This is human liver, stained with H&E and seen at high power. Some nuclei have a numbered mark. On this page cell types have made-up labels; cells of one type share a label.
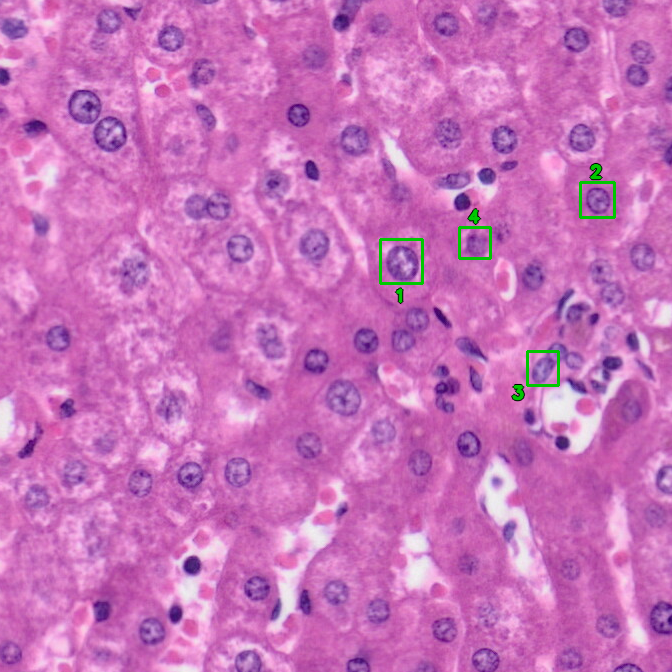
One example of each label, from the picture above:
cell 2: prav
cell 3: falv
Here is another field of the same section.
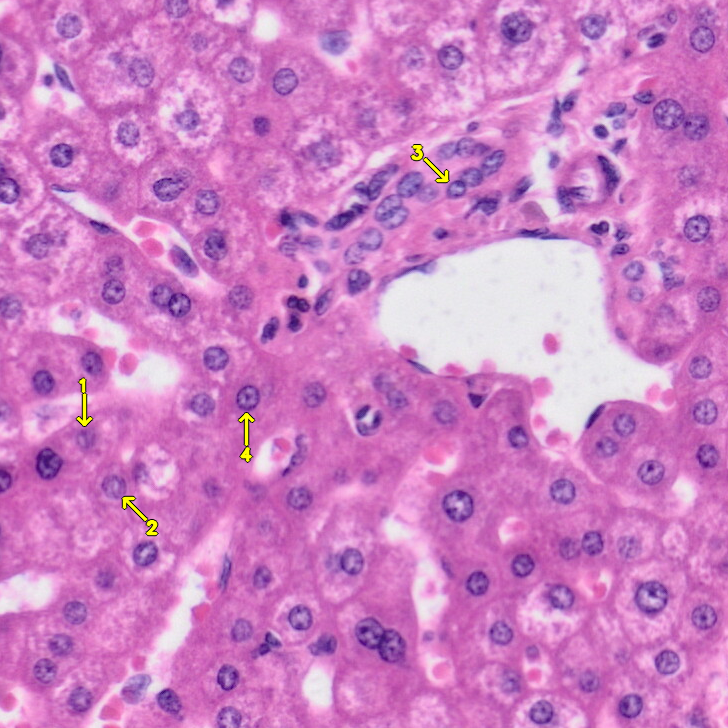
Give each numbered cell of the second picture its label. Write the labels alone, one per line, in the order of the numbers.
prav
prav
falv
prav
